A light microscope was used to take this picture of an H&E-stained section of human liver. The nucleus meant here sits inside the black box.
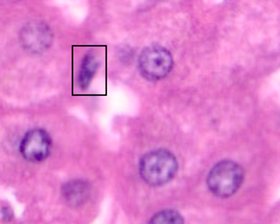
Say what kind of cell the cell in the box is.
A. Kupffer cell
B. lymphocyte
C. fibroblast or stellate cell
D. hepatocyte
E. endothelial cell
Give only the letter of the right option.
C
